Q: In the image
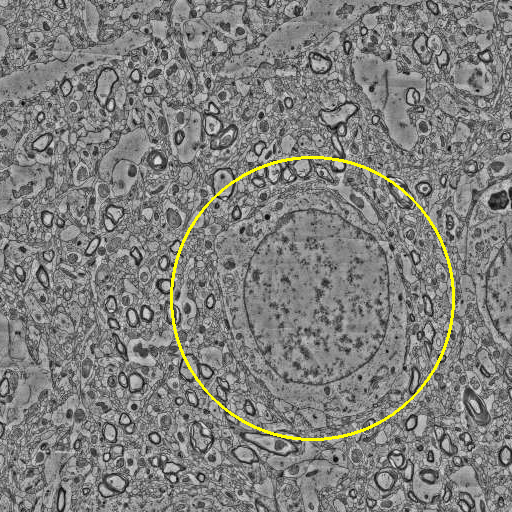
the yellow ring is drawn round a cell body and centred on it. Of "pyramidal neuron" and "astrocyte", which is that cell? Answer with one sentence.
The cell centred in the ring is a pyramidal neuron.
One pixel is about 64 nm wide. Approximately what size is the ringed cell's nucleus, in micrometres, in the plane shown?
The ringed cell's nucleus is about 11 micrometres long and 9 micrometres wide in this plane.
